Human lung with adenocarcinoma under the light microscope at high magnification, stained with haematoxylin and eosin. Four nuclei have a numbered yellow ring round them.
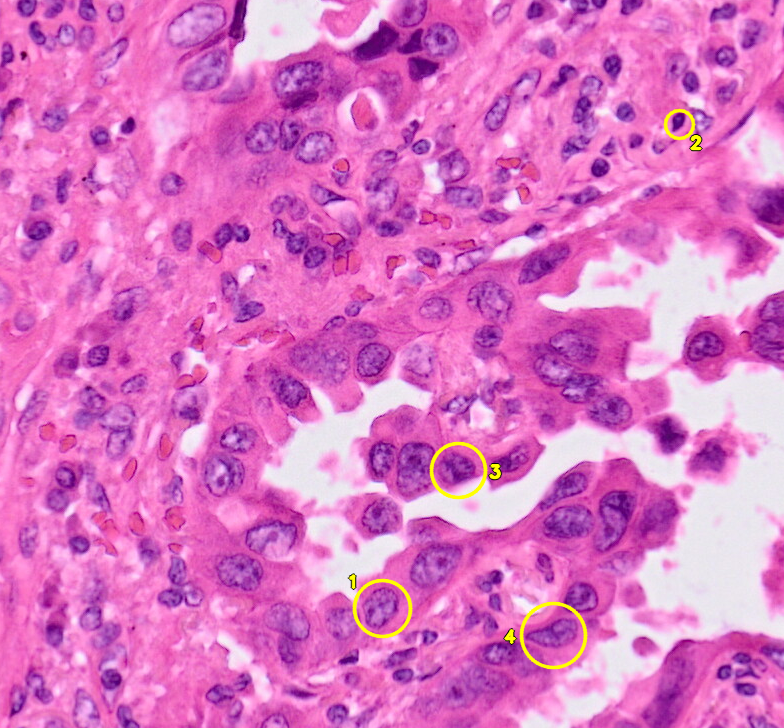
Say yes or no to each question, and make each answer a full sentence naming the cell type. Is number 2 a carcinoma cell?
No, the cell at number 2 is a lymphocyte instead of a carcinoma cell.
